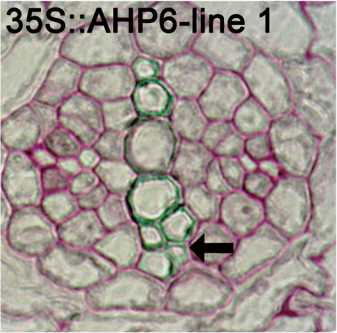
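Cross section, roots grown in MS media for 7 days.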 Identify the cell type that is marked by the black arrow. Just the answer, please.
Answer: extra xylem cells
